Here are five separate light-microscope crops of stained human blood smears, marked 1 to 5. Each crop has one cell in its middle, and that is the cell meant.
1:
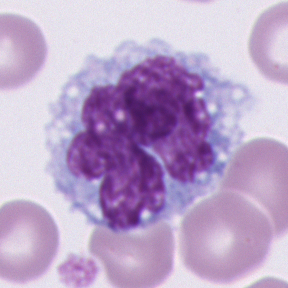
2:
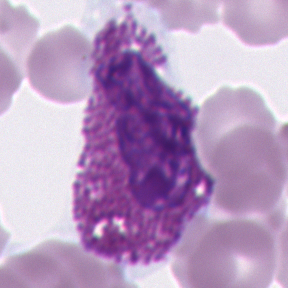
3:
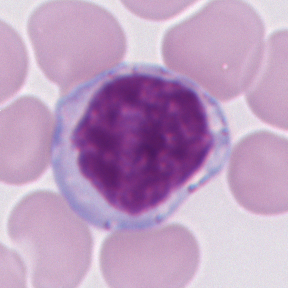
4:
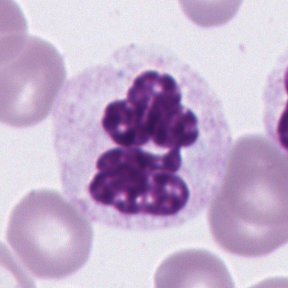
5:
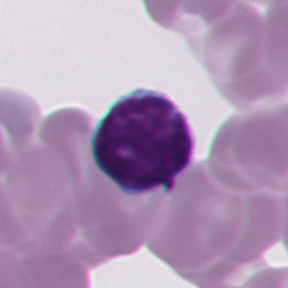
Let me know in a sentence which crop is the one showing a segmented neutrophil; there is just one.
So the crop with a segmented neutrophil at its center is crop 4.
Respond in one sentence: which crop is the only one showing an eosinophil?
Among the crops, only crop 2 contains an eosinophil.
